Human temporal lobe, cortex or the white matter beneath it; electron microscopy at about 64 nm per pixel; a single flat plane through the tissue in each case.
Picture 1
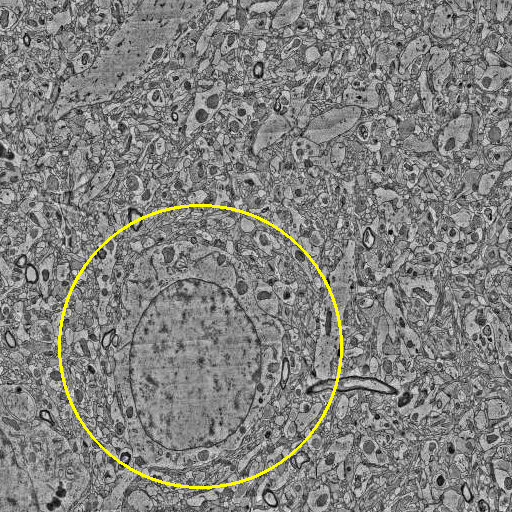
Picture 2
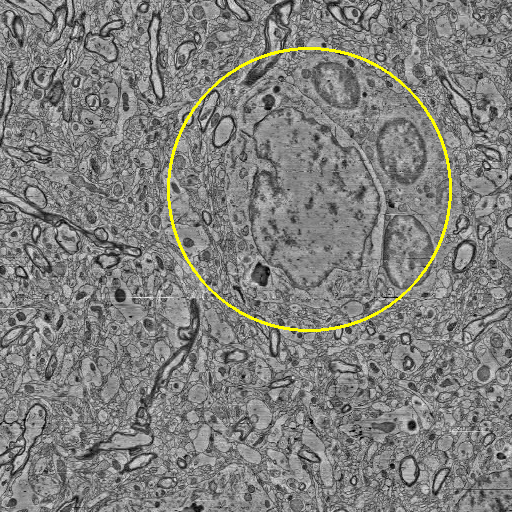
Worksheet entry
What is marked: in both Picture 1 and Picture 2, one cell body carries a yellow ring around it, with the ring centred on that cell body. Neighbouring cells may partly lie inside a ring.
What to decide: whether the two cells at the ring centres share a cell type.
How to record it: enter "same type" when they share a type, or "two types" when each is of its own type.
two types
